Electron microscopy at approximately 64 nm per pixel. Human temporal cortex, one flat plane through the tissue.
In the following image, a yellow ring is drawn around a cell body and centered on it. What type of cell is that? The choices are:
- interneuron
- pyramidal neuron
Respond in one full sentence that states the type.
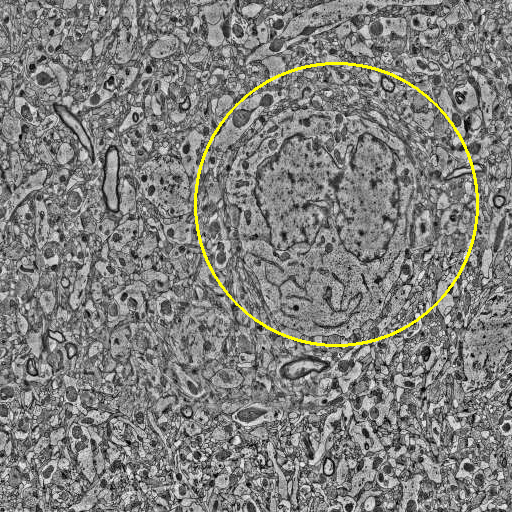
The cell at the center of the yellow ring in the image is an interneuron.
